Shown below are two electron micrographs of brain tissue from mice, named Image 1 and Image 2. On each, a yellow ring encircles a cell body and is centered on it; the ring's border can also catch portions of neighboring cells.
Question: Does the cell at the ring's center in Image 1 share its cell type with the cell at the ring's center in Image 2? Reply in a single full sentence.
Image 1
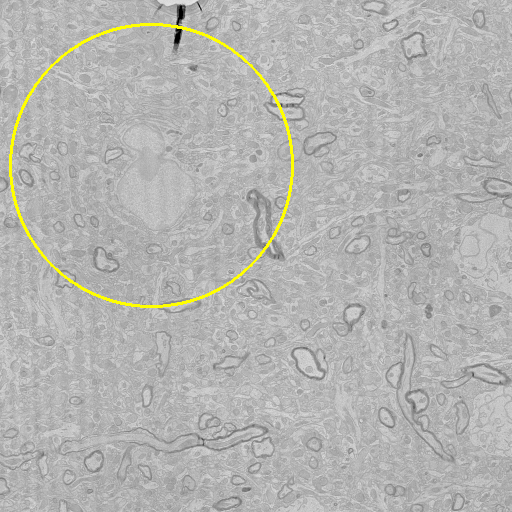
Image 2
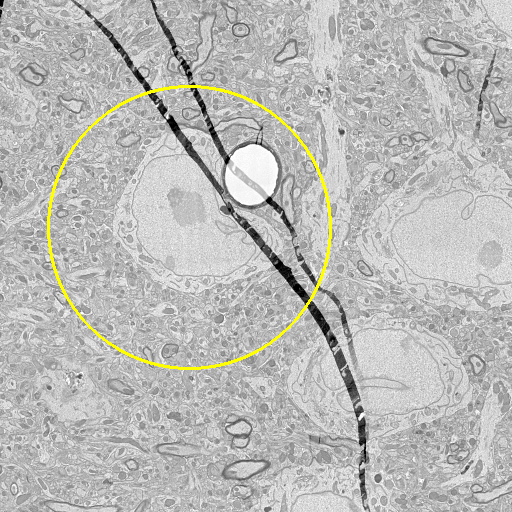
No, the two cells at the ring centers, in Image 1 and Image 2, are of two cell types.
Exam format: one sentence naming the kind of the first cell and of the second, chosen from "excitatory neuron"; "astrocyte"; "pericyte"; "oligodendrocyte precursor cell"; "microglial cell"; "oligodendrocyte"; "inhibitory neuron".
The first picture's cell is an oligodendrocyte precursor cell, and the second picture's cell is an excitatory neuron.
